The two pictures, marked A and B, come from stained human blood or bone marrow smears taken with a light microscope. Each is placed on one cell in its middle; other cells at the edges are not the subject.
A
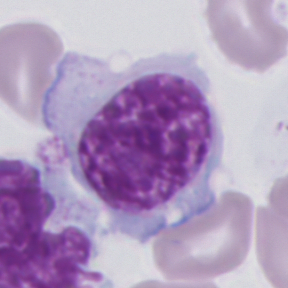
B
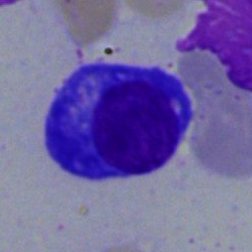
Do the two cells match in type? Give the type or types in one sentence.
Yes, the two crops both show plasma cells.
